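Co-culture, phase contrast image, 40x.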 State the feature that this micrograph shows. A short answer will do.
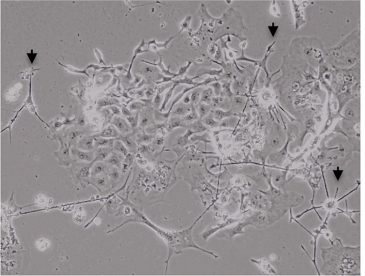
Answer: Epithelial cell colony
